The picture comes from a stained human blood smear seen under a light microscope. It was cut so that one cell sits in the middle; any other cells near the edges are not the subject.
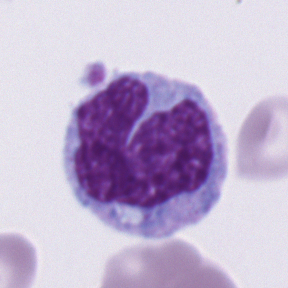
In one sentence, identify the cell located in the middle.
The cell centered in this field of view is a monocyte.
